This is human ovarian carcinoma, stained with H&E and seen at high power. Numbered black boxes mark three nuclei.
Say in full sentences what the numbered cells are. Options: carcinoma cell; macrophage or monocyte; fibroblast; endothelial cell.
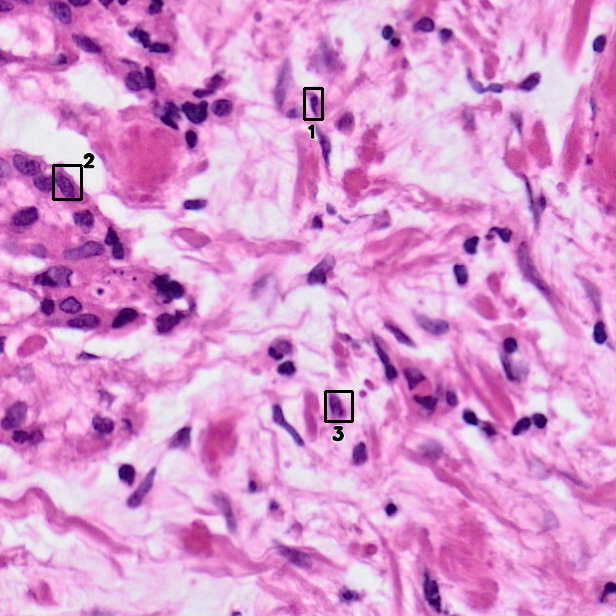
Cells 1 and 3 are fibroblasts. Cell 2 is a carcinoma cell.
